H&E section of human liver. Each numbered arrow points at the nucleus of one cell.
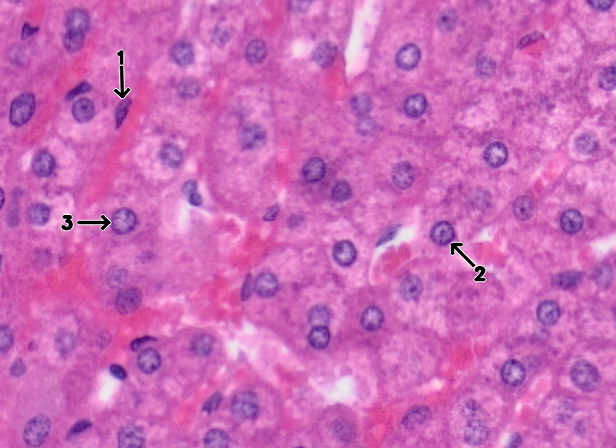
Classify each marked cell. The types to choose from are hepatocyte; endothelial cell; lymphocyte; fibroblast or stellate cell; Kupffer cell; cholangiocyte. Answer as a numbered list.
1. endothelial cell
2. hepatocyte
3. hepatocyte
